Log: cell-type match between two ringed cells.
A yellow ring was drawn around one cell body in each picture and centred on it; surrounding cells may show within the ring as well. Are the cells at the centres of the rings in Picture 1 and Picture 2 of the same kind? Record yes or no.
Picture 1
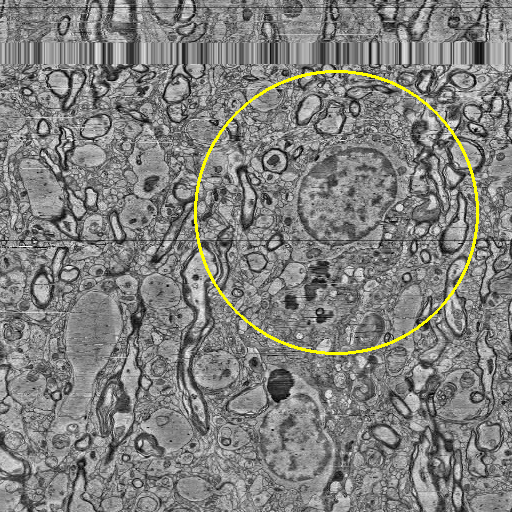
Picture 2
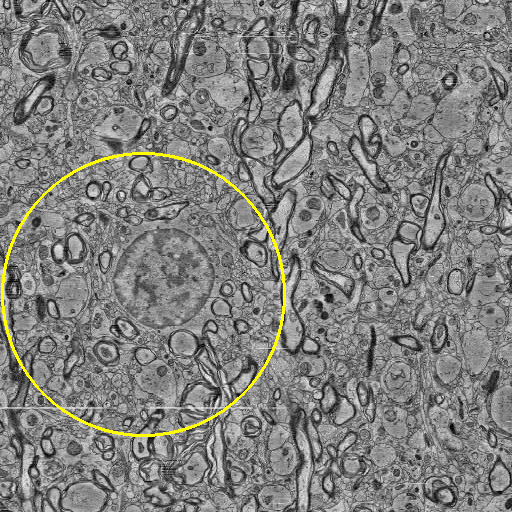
yes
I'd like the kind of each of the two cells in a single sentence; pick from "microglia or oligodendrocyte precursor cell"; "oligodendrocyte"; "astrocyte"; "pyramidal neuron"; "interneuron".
Each of the two cells is an oligodendrocyte.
